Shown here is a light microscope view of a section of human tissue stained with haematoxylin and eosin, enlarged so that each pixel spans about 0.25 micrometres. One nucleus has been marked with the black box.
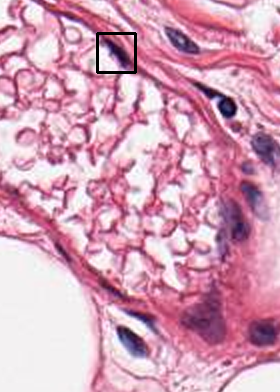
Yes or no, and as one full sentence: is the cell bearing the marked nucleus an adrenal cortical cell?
No, the owner of the marked nucleus is a supporting cell, not an adrenal cortical cell.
